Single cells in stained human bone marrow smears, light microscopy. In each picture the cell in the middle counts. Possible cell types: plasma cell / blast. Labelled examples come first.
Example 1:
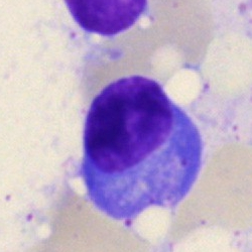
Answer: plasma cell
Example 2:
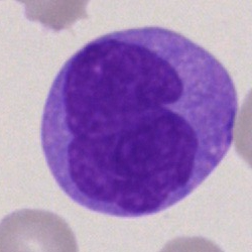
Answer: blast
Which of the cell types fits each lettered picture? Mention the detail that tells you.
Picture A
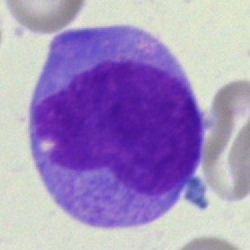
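Label: blast. The nucleus fills most of the cell.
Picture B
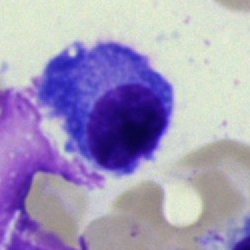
Label: plasma cell. The cytoplasm is abundant and deep blue.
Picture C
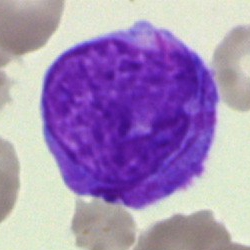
Label: blast. The cytoplasm is a scant thin rim of deep blue-violet.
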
